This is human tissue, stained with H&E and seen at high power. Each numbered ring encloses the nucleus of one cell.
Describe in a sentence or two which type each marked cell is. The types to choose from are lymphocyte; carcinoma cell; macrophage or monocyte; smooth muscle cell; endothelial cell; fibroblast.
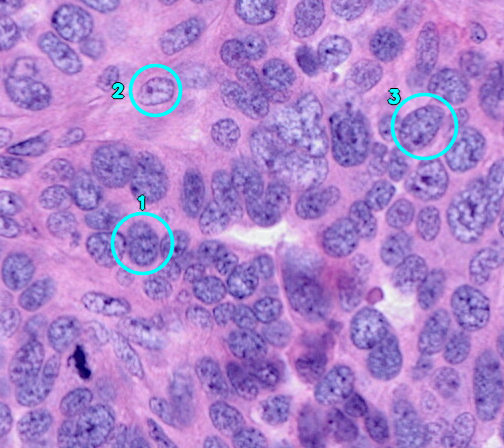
Cells 1 and 3 are carcinoma cells. Cell 2 is a fibroblast.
